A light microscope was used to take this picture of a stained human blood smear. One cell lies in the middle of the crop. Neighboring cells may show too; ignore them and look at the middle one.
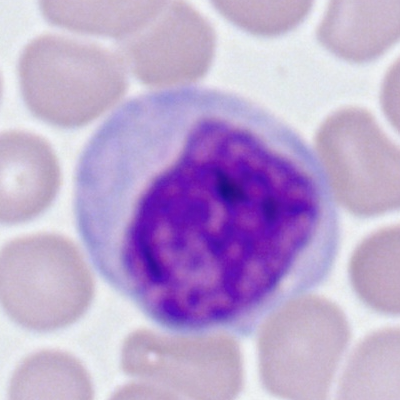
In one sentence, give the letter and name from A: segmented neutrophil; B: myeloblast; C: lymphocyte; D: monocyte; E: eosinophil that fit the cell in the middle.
Seen at the centre of the crop is a monocyte, so option D is correct.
